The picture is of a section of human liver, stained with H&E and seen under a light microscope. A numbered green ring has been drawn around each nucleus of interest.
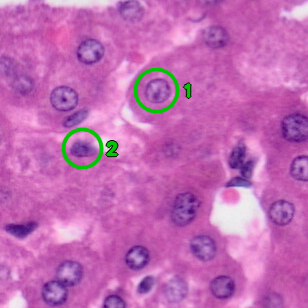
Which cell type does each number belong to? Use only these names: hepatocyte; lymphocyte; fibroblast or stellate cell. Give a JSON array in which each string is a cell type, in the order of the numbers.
["hepatocyte", "fibroblast or stellate cell"]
